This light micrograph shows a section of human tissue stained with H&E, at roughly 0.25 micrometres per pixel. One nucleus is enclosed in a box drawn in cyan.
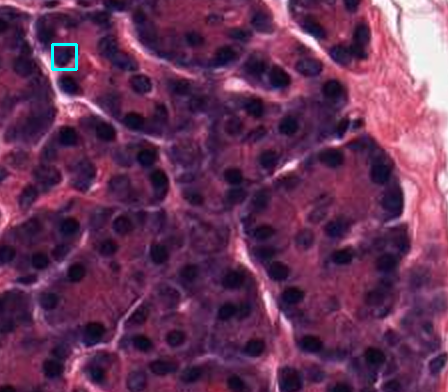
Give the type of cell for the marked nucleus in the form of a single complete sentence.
The marked nucleus is a nucleus of a pancreatic acinar cell.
